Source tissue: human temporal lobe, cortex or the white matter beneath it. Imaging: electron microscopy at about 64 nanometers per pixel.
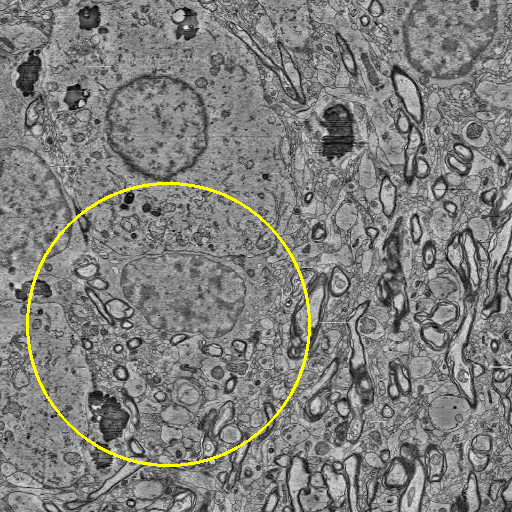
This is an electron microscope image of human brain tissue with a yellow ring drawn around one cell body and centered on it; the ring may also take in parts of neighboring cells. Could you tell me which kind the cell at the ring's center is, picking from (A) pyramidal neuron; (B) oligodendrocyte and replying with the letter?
B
